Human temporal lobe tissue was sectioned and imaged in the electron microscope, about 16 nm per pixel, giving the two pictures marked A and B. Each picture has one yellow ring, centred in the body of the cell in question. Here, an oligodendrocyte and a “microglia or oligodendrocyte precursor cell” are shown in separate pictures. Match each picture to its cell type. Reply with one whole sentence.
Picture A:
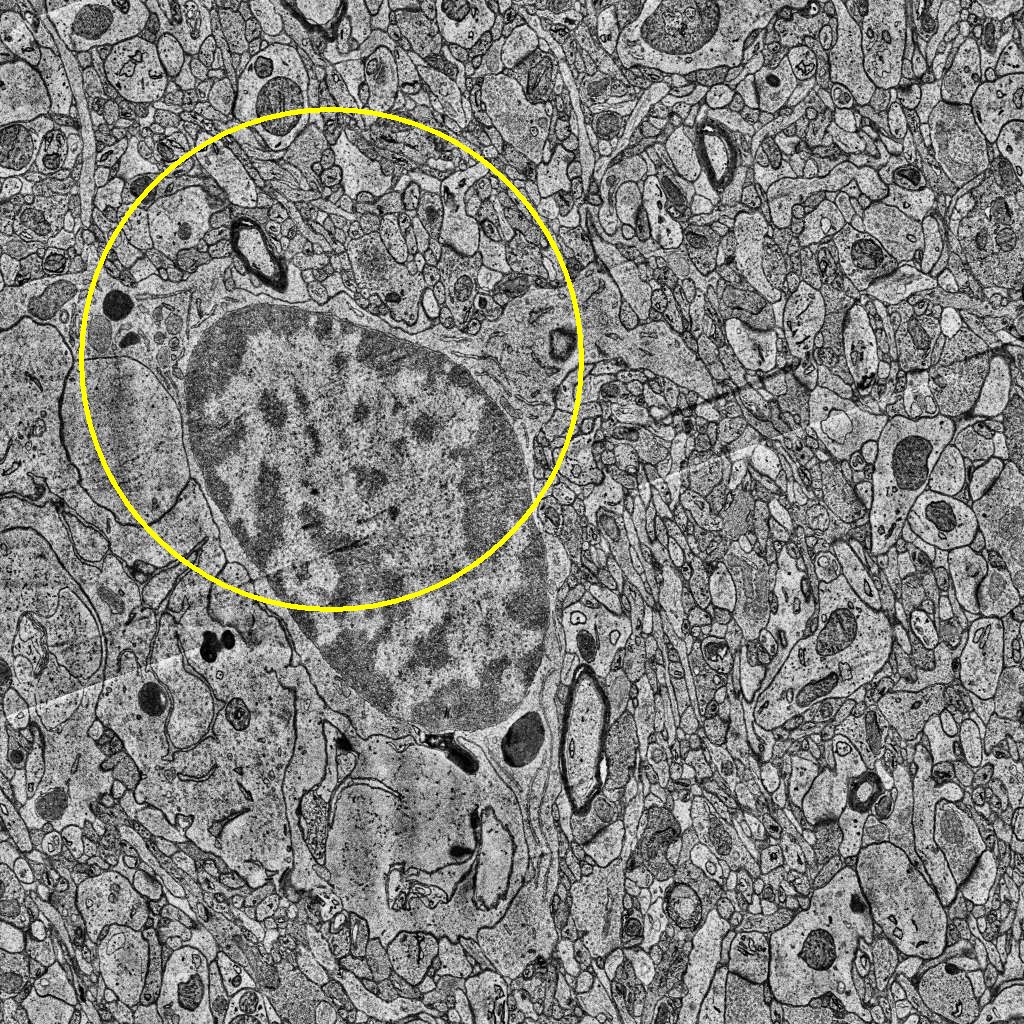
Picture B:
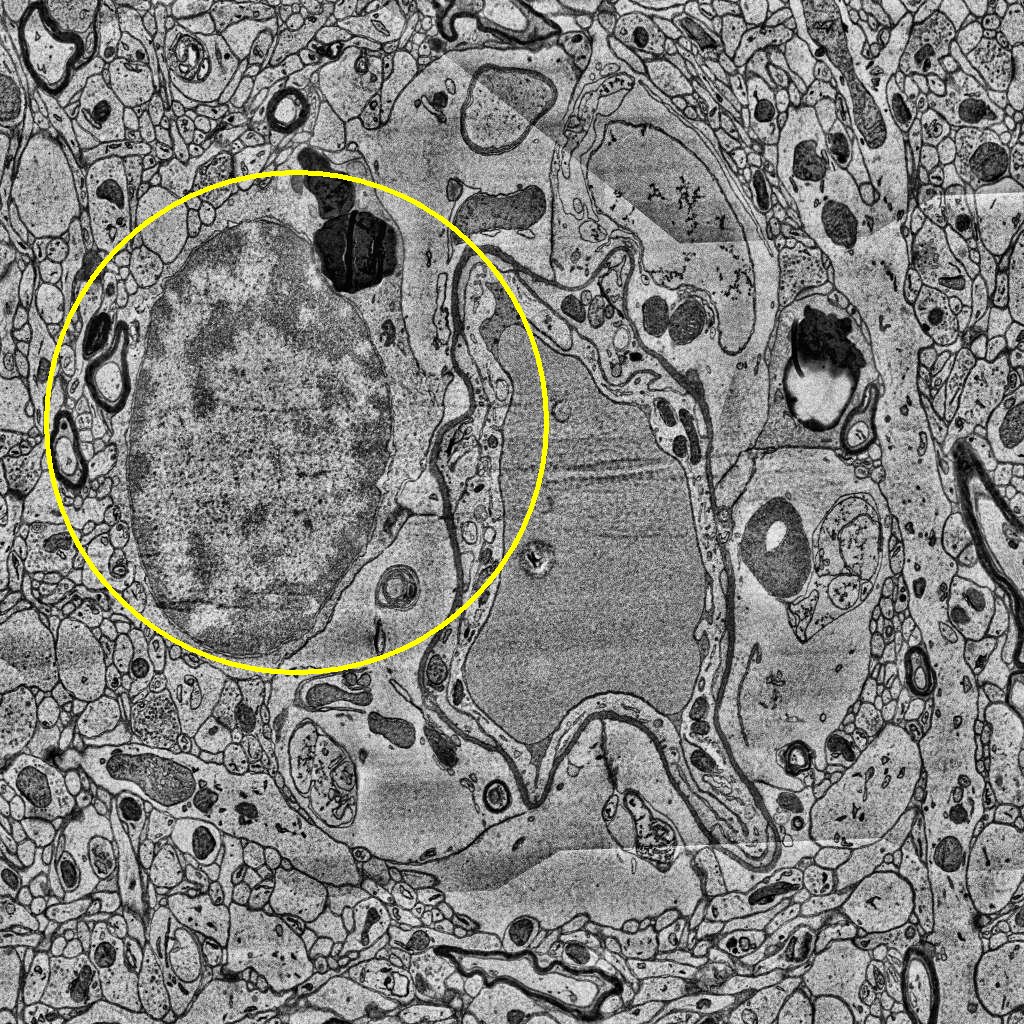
The cell in picture A is a “microglia or oligodendrocyte precursor cell”, and the one in picture B is an oligodendrocyte.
